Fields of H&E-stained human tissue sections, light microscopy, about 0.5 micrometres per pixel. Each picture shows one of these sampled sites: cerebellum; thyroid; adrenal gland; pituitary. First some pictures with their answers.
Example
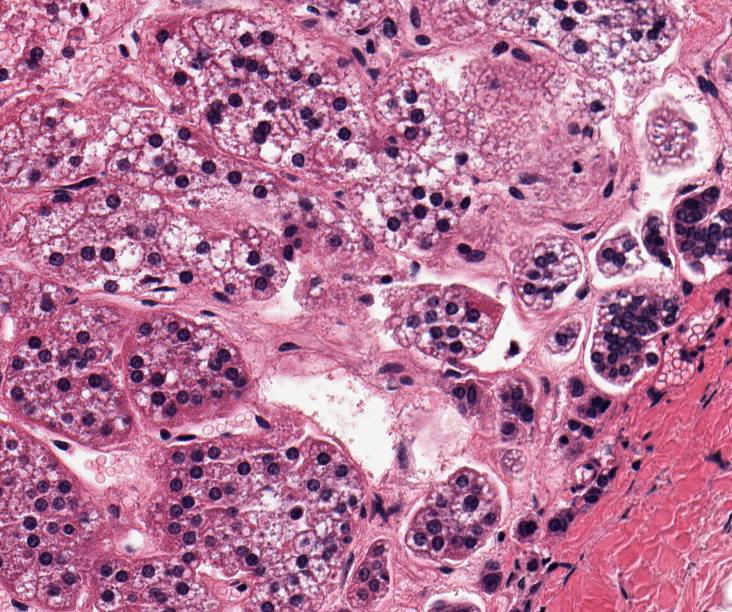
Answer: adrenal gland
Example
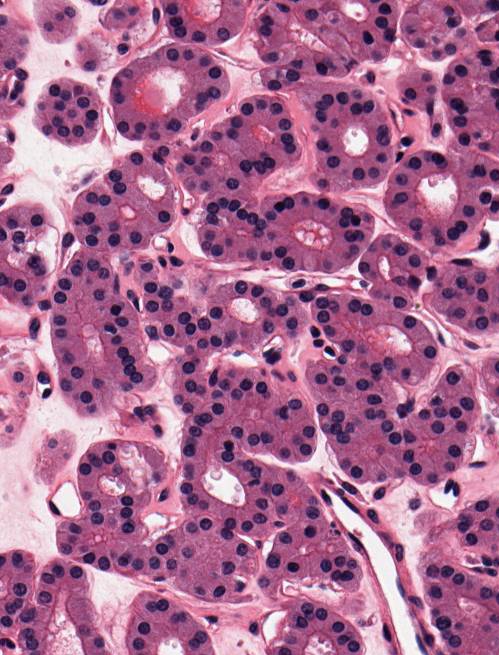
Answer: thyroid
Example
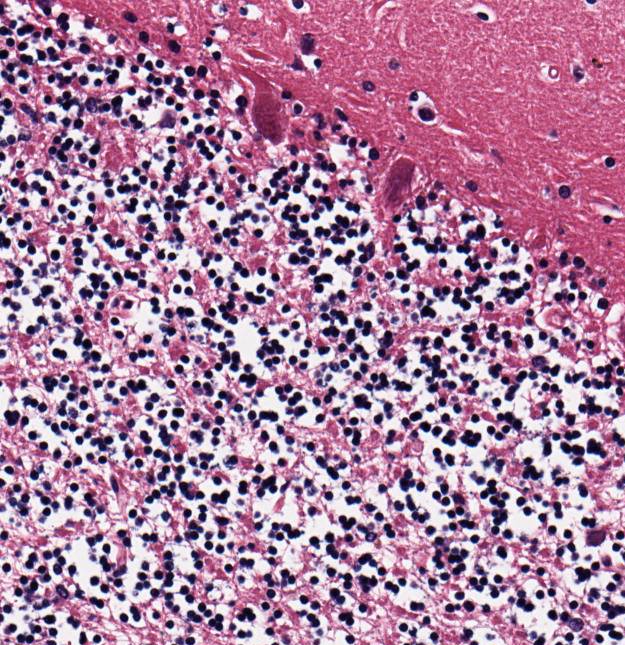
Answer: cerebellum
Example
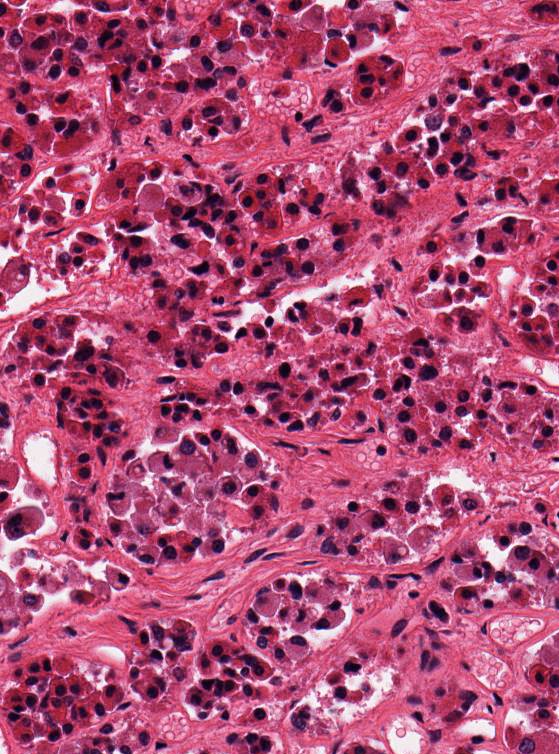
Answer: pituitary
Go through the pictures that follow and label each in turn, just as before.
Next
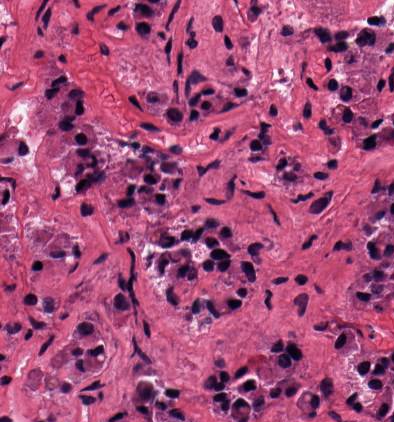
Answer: pituitary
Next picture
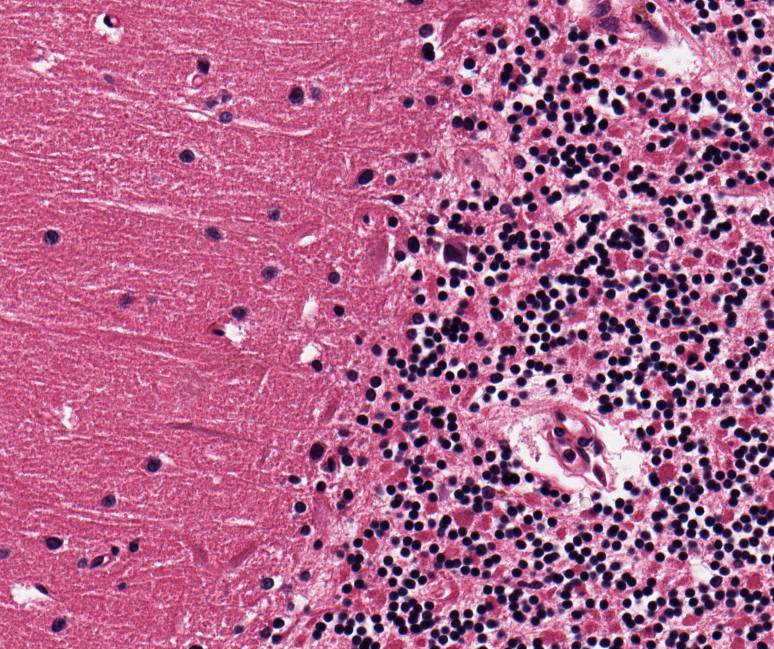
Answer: cerebellum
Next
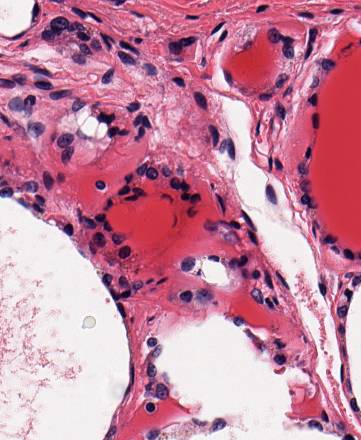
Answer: thyroid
